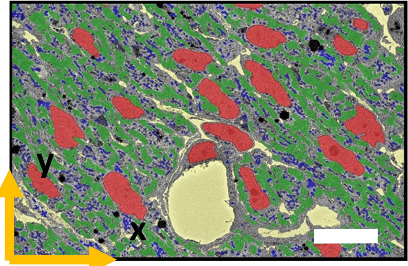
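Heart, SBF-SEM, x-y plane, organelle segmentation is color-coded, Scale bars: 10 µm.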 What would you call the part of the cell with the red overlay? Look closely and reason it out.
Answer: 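Red regions are large, oval, single bodies a few micrometres long. Red bodies lie singly among the fibre bundles. That points to this answer: nuclei.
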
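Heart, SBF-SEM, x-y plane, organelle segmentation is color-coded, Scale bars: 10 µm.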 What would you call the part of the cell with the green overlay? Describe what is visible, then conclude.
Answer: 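Myofibrils. The green bands all run in the same oblique direction. Small blue bodies lie in rows between the green bands.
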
